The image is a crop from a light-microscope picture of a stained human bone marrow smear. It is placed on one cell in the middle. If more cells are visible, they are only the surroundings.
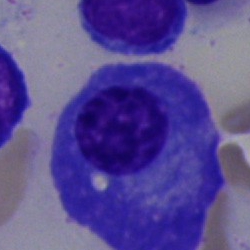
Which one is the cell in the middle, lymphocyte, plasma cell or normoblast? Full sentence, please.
In short, the cell at the center is a plasma cell.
